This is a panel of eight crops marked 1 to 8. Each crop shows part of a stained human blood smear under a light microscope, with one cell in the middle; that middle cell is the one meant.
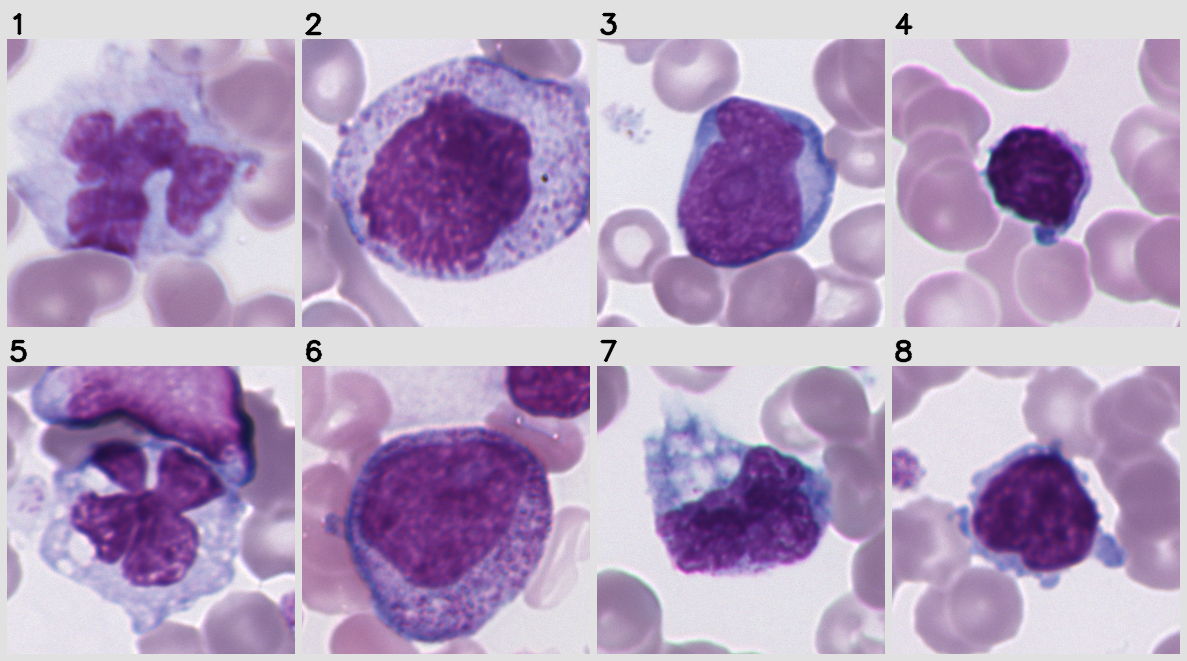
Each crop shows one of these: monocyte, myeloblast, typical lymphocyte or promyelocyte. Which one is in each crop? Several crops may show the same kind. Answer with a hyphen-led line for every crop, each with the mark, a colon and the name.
- 1: monocyte
- 2: promyelocyte
- 3: myeloblast
- 4: typical lymphocyte
- 5: monocyte
- 6: promyelocyte
- 7: monocyte
- 8: typical lymphocyte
